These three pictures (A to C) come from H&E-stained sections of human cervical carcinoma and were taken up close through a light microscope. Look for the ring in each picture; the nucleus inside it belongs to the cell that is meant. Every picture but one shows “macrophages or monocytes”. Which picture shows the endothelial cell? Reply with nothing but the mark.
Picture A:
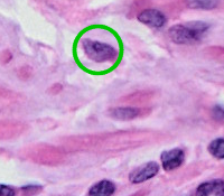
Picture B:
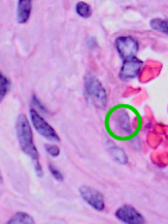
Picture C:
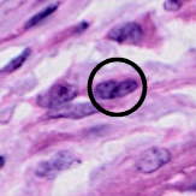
B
